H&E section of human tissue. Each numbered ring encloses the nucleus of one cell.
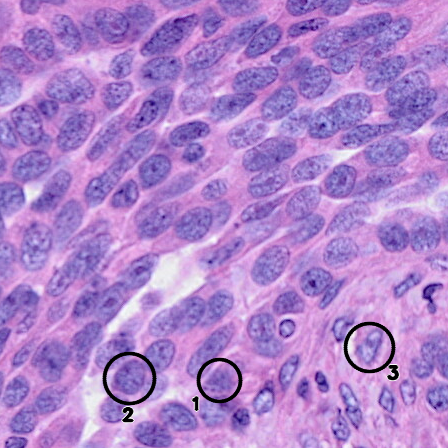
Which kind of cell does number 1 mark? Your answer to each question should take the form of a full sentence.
Cell 1 in the field is a carcinoma cell.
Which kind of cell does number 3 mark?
Cell 3, among those numbered, is a fibroblast.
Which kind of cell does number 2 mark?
The numbered cell 2 in this field is a carcinoma cell.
